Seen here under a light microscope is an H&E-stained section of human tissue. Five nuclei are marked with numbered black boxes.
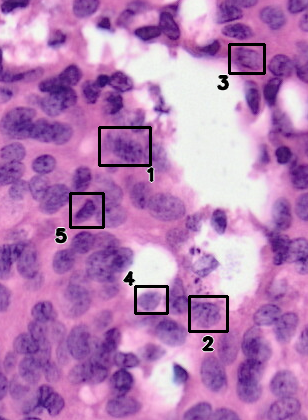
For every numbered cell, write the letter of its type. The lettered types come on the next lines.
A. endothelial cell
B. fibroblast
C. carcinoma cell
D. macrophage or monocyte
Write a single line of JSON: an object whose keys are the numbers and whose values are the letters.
{"1": "C", "2": "C", "3": "A", "4": "D", "5": "C"}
